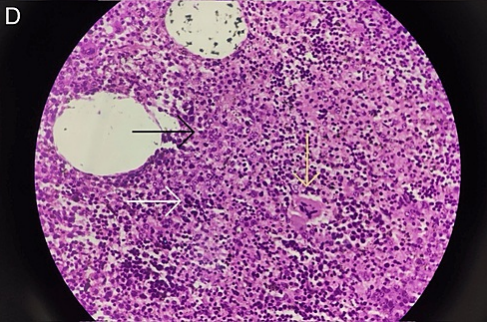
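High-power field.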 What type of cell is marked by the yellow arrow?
Megakaryocytes.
